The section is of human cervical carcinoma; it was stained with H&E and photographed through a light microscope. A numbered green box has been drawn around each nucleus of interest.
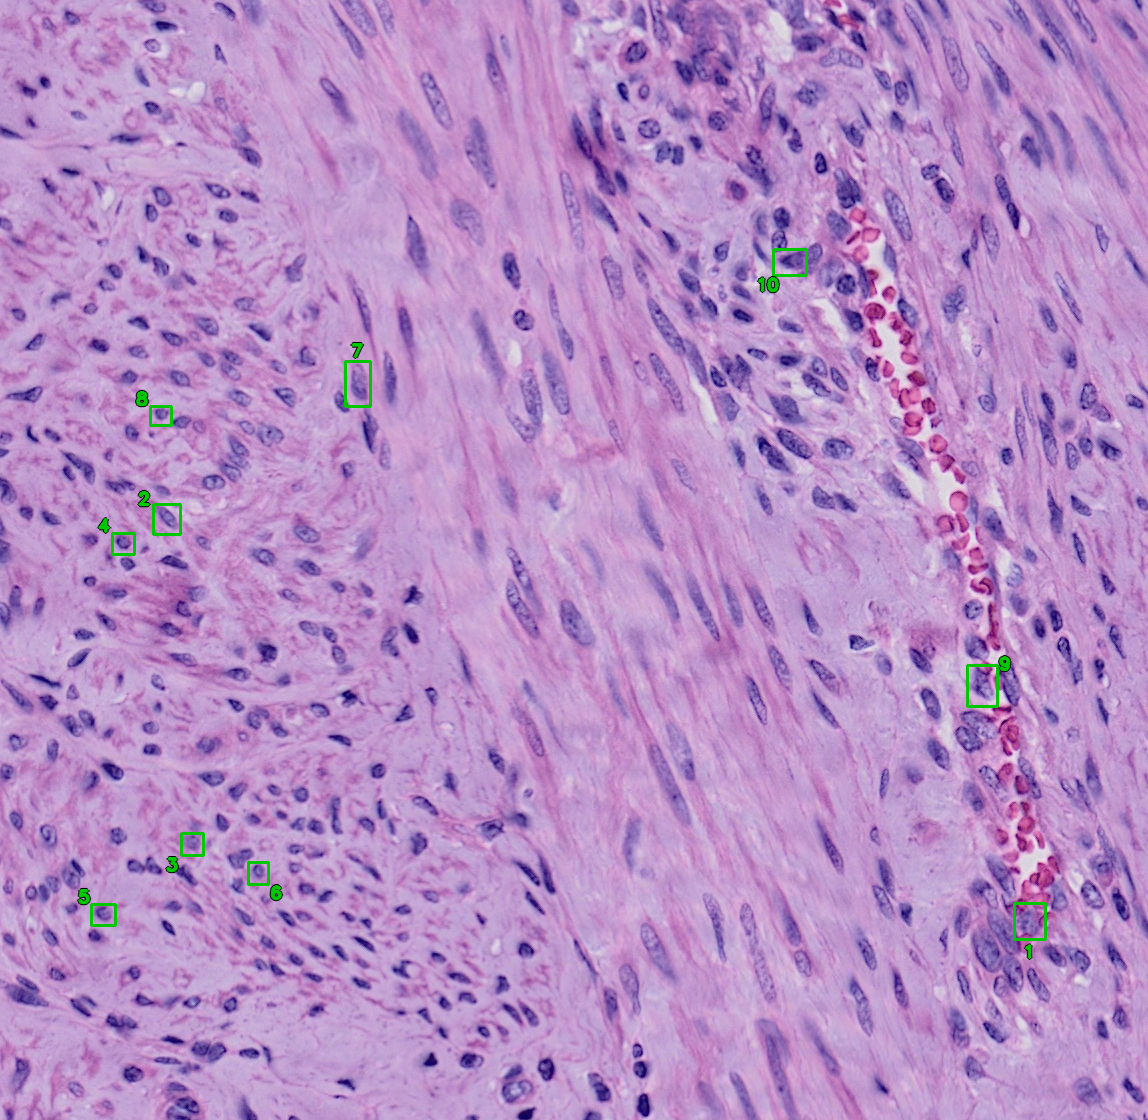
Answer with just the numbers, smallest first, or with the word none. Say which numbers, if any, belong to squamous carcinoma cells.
none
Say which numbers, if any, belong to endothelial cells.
1, 9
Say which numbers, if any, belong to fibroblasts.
7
